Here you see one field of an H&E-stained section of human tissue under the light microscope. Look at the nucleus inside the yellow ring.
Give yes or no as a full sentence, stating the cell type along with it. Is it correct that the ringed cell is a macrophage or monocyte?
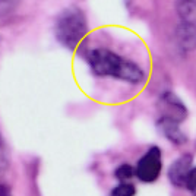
Yes, the naming of the ringed cell as a macrophage or monocyte is correct.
